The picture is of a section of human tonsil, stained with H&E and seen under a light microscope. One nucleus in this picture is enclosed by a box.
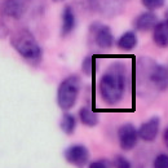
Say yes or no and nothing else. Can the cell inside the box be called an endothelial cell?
no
